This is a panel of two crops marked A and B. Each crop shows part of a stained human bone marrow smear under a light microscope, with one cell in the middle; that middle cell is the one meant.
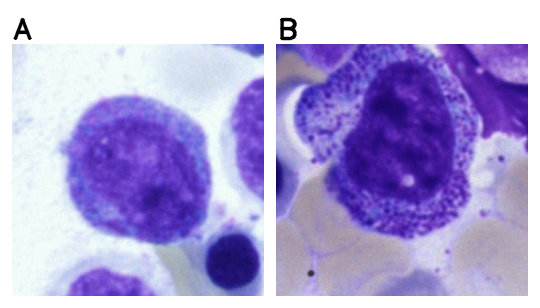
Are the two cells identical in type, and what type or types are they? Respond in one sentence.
Yes, both crops are centred on cells that are promyelocytes.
